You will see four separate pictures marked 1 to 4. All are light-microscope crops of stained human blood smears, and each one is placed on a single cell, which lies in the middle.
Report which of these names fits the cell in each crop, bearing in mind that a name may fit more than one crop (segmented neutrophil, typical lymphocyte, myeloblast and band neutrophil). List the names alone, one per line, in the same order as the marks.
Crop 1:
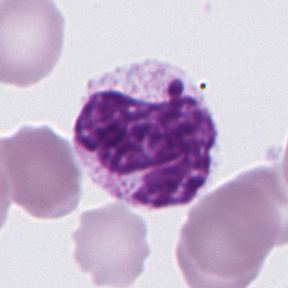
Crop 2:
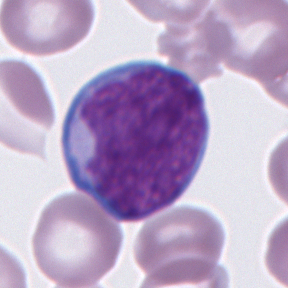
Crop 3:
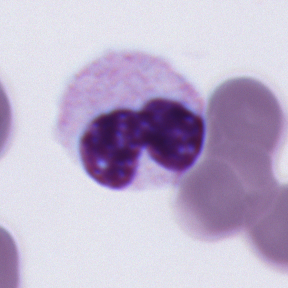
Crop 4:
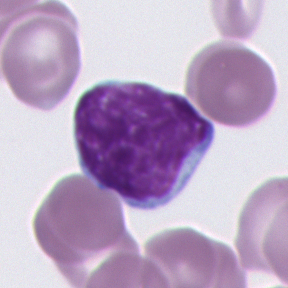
segmented neutrophil
myeloblast
segmented neutrophil
myeloblast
